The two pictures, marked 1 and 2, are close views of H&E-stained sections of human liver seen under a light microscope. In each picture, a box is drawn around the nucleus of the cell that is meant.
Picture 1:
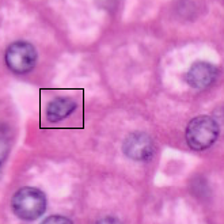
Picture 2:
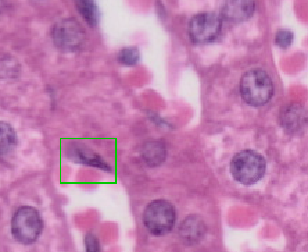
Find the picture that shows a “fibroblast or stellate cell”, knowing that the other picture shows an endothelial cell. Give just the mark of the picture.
1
